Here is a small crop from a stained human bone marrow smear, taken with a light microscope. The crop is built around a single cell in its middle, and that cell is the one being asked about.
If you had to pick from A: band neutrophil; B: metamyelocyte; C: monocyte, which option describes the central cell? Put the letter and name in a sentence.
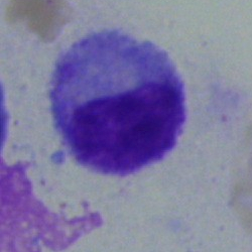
Option B is correct here, and the cell in the middle is a metamyelocyte.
